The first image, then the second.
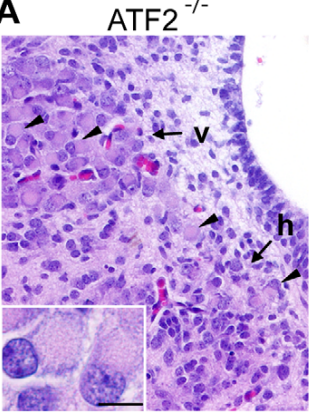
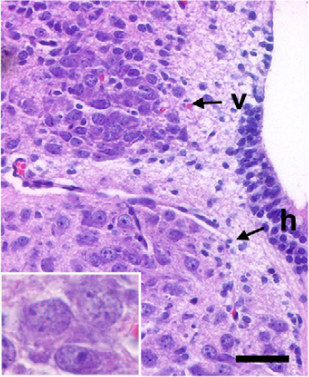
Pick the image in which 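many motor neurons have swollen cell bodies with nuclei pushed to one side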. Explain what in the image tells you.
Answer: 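Second image: the large neurons have compact cell bodies with centrally placed nuclei. First image: many large neurons are rounded and swollen with pale cytoplasm and nuclei at the cell edge.
Hence: the first image.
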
